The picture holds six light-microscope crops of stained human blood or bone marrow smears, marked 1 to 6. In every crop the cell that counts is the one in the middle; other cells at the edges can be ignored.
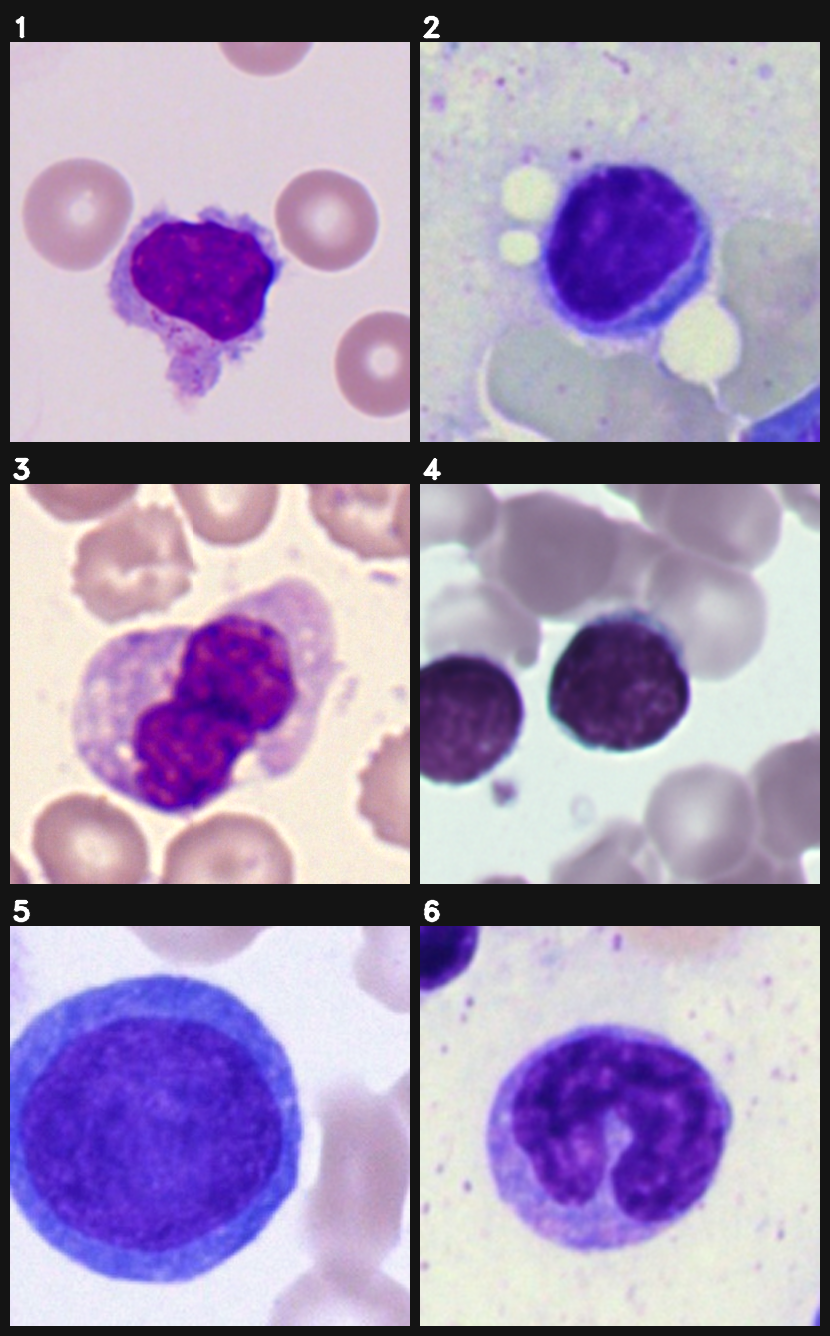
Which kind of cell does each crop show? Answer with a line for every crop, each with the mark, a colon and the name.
1: lymphocyte
2: lymphocyte
3: monocyte
4: lymphocyte
5: blast
6: monocyte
